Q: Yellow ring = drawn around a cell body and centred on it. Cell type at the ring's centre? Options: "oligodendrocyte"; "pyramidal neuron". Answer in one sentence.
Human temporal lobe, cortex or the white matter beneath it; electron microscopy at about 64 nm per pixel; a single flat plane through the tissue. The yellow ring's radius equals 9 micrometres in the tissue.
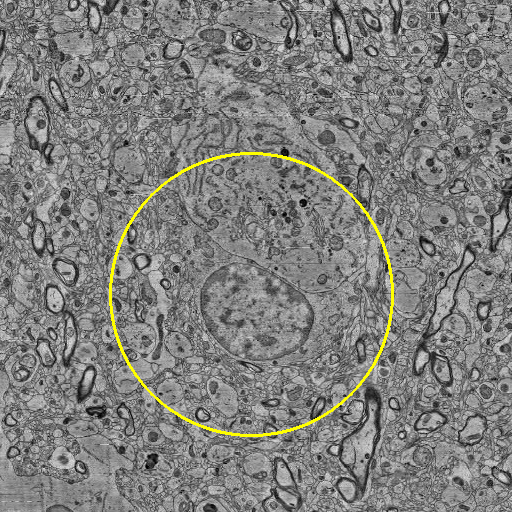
Centred in the ring is an oligodendrocyte.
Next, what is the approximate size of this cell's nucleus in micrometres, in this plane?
Roughly 7 by 6 micrometres is the size of the nucleus in this plane.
